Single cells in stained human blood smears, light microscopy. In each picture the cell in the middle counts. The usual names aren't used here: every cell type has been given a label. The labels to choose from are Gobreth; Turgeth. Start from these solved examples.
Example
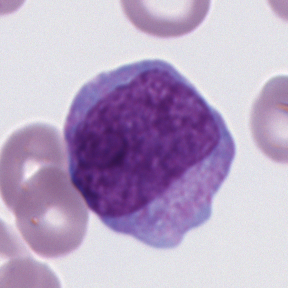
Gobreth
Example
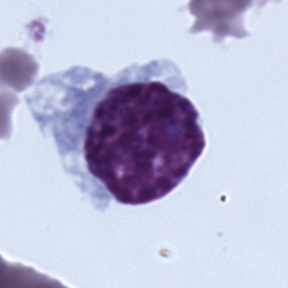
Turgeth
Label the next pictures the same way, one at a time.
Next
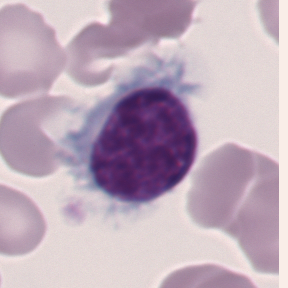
Turgeth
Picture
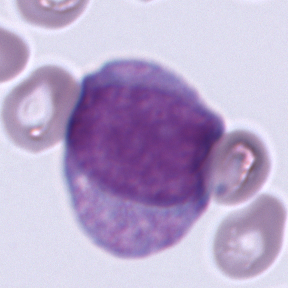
Gobreth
